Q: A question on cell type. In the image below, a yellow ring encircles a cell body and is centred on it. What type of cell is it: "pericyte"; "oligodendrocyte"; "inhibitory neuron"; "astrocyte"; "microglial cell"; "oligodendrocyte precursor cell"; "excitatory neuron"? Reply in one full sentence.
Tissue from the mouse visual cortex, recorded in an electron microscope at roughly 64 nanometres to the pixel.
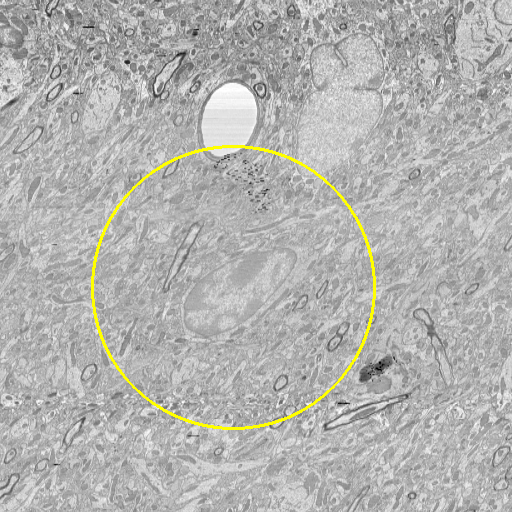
It is an oligodendrocyte whose cell body sits at the centre of the yellow ring in the image.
